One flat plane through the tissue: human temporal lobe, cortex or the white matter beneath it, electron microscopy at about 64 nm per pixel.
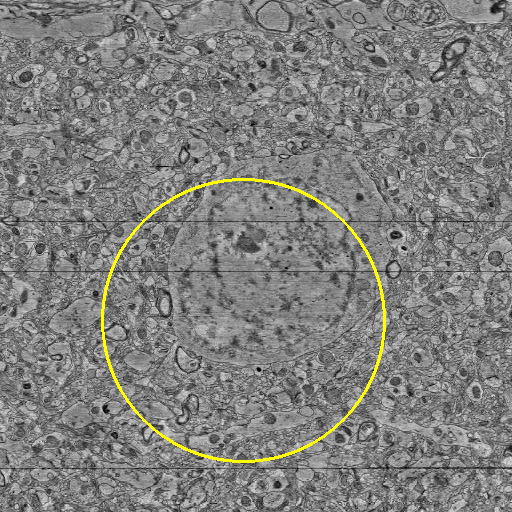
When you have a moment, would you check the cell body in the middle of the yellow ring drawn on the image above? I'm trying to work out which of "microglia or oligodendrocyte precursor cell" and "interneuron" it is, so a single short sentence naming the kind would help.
This cell body belongs to an interneuron.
